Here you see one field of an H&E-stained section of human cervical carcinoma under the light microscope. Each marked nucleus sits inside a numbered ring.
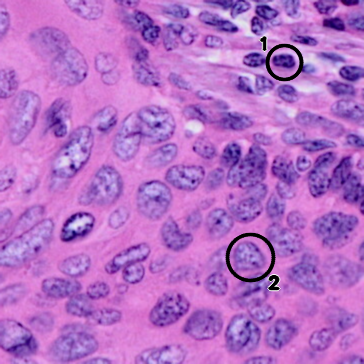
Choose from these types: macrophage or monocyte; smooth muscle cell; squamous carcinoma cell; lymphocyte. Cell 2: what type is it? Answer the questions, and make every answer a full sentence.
The cell given label 2 is a squamous carcinoma cell.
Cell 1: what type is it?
Here, the cell given the number 1 is a lymphocyte.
